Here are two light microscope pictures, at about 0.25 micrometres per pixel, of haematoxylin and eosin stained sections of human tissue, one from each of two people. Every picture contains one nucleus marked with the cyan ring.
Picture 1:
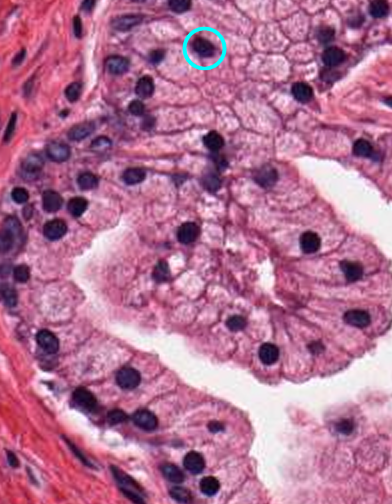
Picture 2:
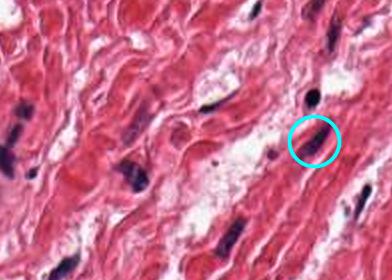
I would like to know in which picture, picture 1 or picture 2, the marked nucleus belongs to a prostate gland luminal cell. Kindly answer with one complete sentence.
Nowhere but in picture 1 does the marked nucleus belong to a prostate gland luminal cell.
